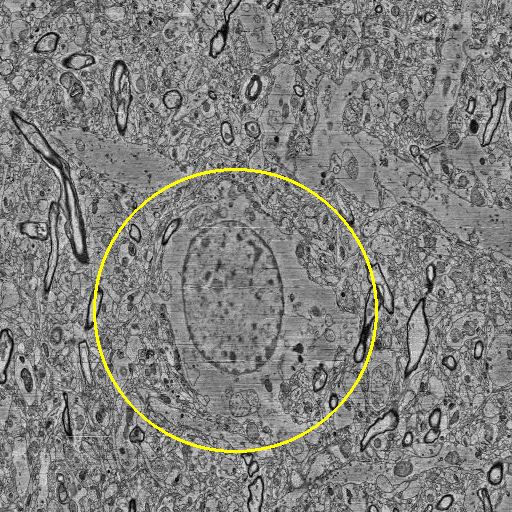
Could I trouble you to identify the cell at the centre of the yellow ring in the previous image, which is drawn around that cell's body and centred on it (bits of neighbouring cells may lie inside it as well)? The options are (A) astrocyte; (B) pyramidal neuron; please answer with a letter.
A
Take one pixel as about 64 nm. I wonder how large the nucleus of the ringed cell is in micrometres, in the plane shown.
The ringed cell's nucleus is about 9 micrometres long and 7 micrometres wide in this plane.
